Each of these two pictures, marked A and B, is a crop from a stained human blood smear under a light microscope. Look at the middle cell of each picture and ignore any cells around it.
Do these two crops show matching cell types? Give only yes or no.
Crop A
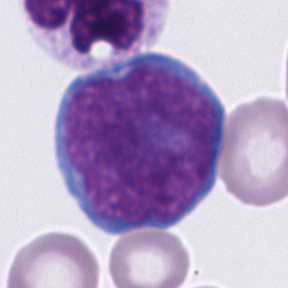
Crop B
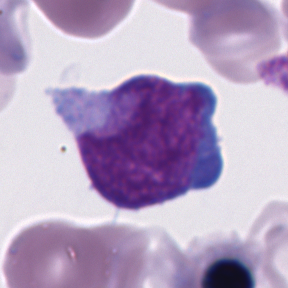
yes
